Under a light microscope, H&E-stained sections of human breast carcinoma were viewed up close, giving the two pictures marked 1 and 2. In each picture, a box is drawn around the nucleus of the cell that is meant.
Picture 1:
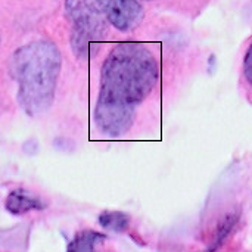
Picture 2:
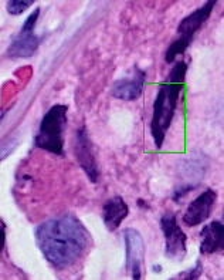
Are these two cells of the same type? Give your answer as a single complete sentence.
Yes, both are carcinoma cells.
